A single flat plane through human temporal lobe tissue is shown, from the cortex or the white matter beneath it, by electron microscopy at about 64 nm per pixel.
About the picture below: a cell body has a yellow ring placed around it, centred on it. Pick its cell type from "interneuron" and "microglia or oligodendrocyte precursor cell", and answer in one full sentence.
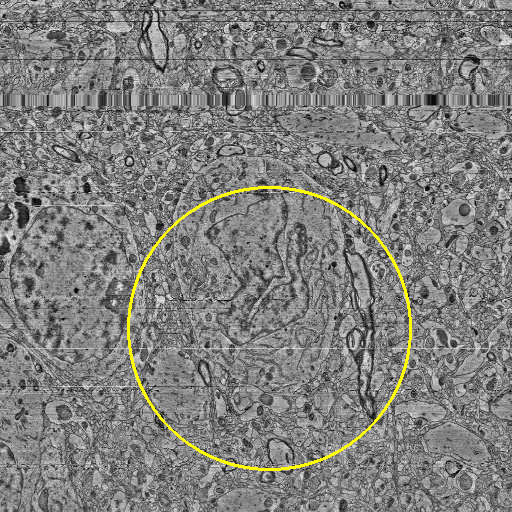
In the picture, an interneuron is the cell sitting at the centre of the yellow ring.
